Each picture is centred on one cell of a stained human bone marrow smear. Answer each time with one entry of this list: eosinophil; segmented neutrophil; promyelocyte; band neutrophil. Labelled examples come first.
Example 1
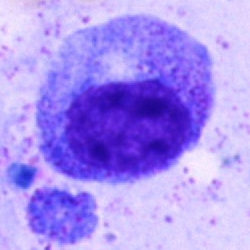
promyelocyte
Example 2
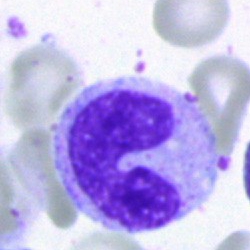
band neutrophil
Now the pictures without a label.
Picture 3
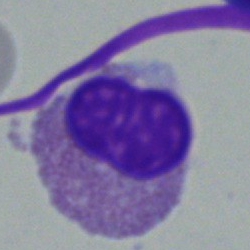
eosinophil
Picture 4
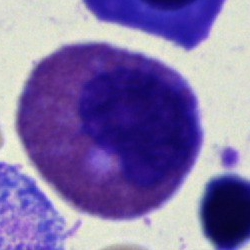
eosinophil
